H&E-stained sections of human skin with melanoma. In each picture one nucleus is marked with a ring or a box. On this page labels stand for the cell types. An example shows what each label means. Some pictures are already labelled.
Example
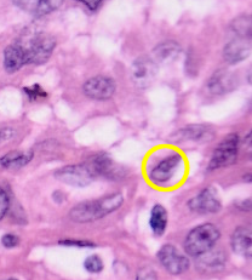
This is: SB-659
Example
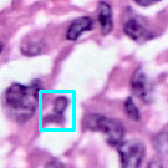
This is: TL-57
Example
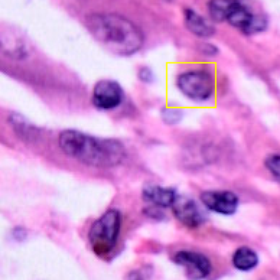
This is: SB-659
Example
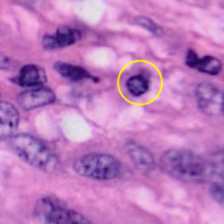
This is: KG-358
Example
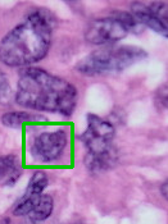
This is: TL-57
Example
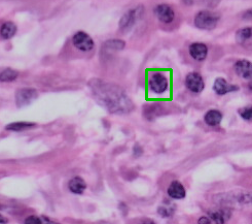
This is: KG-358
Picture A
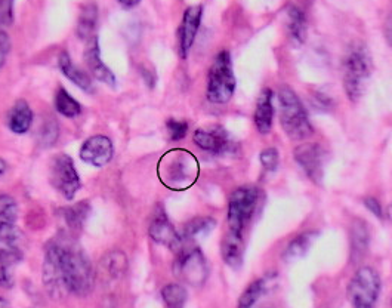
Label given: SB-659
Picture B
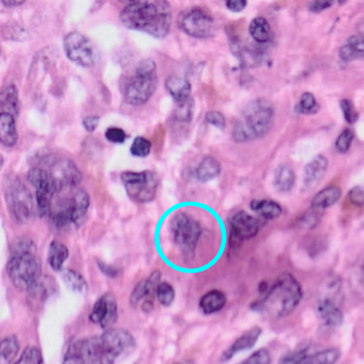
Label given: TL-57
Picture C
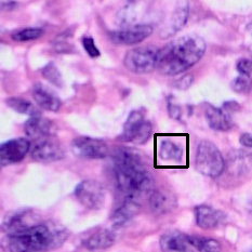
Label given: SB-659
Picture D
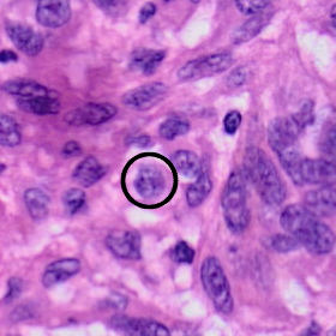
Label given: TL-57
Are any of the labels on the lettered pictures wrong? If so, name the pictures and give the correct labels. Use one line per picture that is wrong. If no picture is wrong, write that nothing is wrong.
A: TL-57, not SB-659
